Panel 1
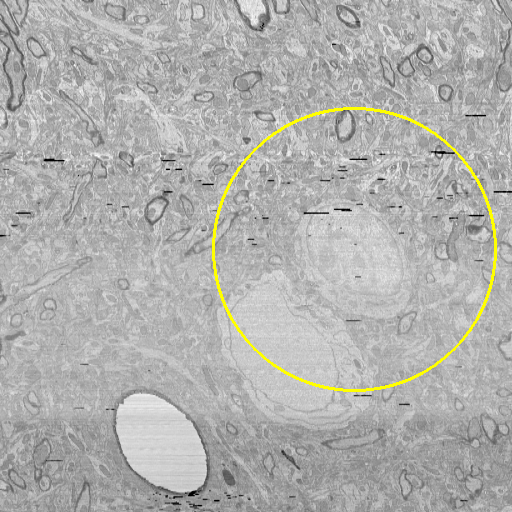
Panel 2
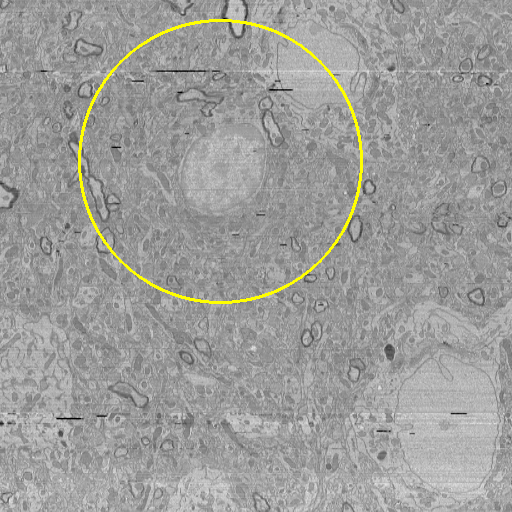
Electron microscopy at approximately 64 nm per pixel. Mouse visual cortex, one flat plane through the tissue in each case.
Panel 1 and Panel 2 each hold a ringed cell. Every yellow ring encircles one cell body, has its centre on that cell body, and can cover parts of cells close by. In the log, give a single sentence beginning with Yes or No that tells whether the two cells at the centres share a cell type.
Yes, in Panel 1 and Panel 2 the centred cells share a cell type.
